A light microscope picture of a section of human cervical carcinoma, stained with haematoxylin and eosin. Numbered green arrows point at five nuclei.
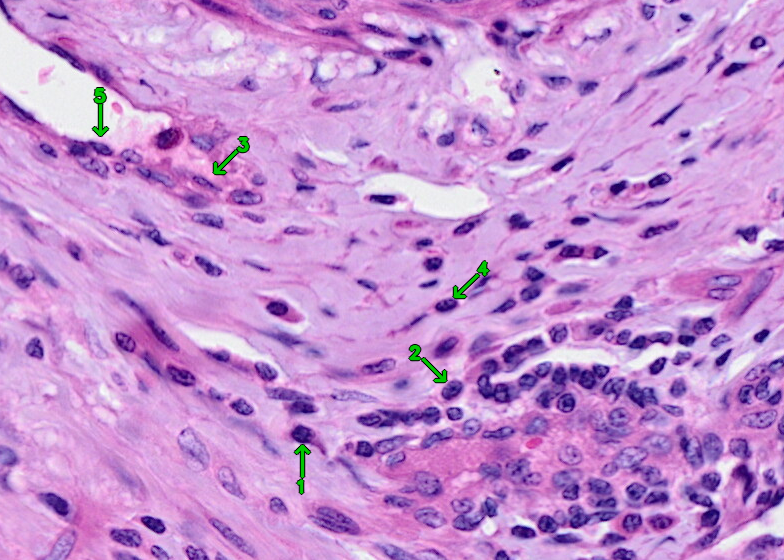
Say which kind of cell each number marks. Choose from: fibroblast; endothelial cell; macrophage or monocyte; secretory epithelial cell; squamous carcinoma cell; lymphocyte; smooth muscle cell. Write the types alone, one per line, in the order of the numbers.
lymphocyte
lymphocyte
endothelial cell
lymphocyte
endothelial cell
